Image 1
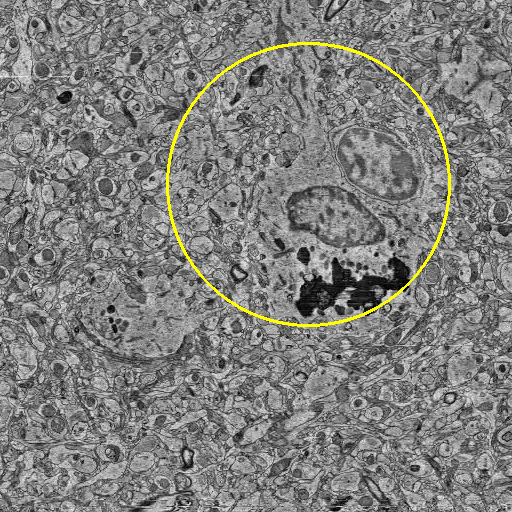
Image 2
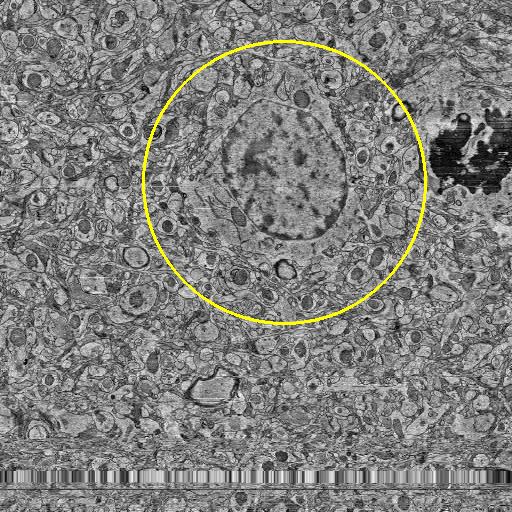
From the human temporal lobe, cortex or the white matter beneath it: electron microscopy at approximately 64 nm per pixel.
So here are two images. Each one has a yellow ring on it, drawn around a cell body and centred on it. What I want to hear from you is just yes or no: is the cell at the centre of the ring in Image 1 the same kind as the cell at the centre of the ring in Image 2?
yes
